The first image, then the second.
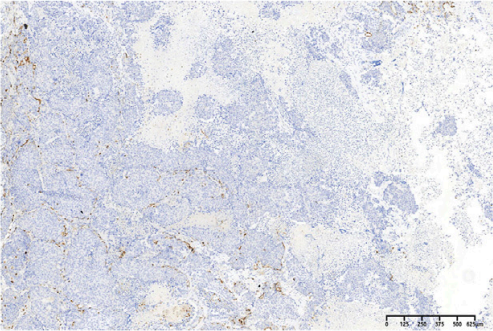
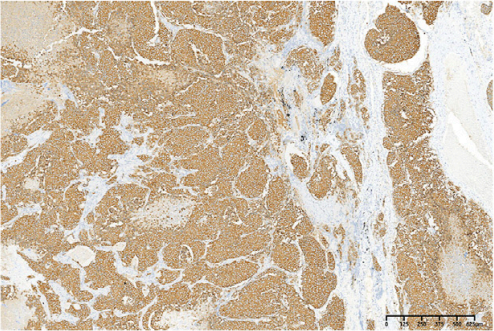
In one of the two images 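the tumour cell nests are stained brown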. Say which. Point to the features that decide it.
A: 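First image: the tumour tissue is blue, with only scattered thin brown strands. Second image: the tumour nests are diffusely and strongly brown, standing out against pale blue stroma. On this evidence: the second image.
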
